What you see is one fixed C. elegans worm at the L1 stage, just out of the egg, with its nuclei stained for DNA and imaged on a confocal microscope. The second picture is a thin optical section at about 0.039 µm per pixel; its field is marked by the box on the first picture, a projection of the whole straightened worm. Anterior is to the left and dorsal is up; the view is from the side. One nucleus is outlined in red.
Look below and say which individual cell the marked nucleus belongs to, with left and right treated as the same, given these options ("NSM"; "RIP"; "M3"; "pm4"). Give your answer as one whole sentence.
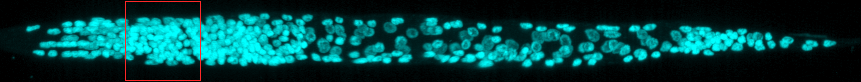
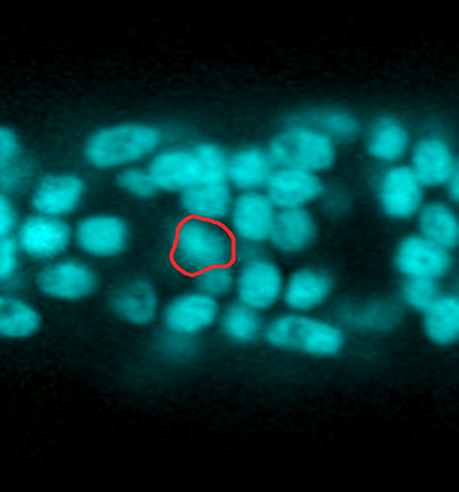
The marked nucleus belongs to M3, a neuron.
